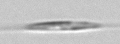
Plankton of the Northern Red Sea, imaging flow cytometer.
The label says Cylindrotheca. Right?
Right.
